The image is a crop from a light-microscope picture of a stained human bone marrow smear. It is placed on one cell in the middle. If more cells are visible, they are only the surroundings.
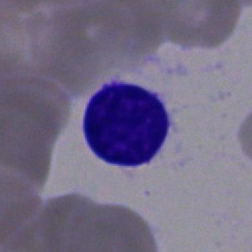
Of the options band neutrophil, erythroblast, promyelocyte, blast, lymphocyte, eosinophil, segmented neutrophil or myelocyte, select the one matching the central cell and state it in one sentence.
Answering briefly, the cell in the middle is a lymphocyte.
